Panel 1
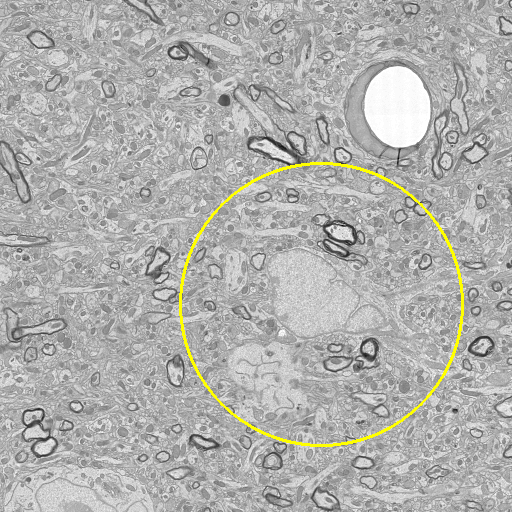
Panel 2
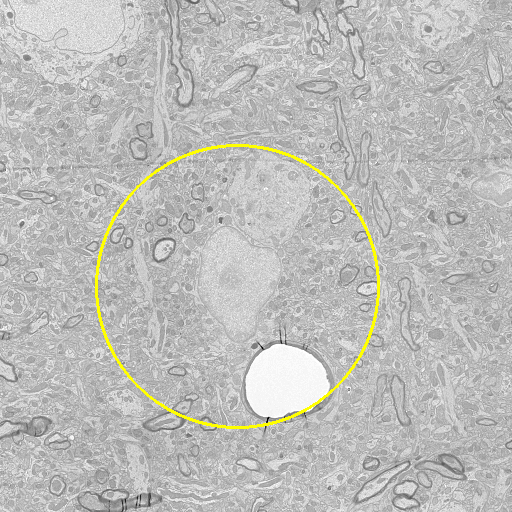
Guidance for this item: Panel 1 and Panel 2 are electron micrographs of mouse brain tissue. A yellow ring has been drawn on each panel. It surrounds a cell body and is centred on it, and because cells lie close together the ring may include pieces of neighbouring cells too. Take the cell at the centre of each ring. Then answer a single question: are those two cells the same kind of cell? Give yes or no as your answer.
yes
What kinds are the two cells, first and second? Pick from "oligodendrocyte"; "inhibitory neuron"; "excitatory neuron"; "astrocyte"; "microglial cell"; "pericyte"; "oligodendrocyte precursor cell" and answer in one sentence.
In the first picture and in the second, the ring is centred on an astrocyte.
